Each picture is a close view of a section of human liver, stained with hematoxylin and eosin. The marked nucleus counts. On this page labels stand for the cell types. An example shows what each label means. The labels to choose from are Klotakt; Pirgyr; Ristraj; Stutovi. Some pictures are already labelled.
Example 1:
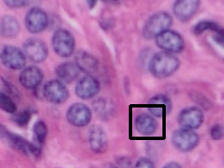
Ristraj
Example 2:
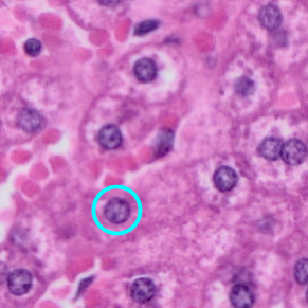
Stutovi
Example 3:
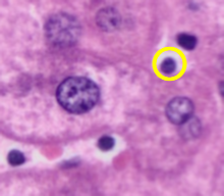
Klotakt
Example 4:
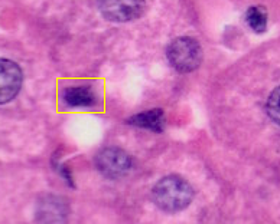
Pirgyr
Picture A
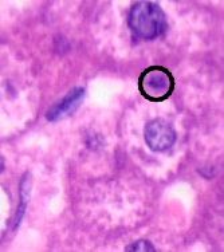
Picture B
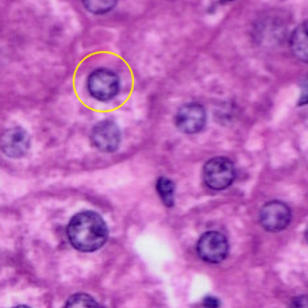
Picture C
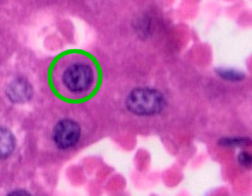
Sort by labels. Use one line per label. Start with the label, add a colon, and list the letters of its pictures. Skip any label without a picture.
Pirgyr: A
Stutovi: B, C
